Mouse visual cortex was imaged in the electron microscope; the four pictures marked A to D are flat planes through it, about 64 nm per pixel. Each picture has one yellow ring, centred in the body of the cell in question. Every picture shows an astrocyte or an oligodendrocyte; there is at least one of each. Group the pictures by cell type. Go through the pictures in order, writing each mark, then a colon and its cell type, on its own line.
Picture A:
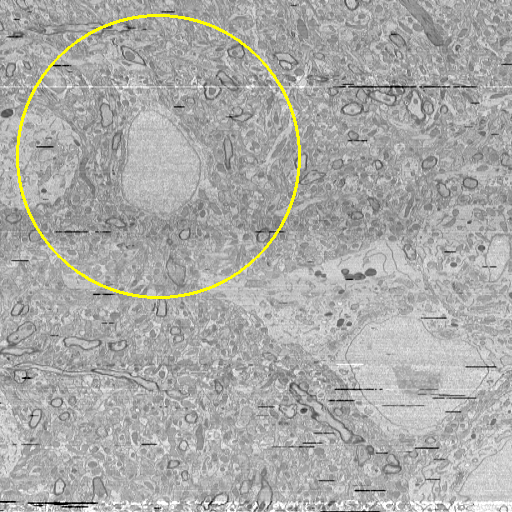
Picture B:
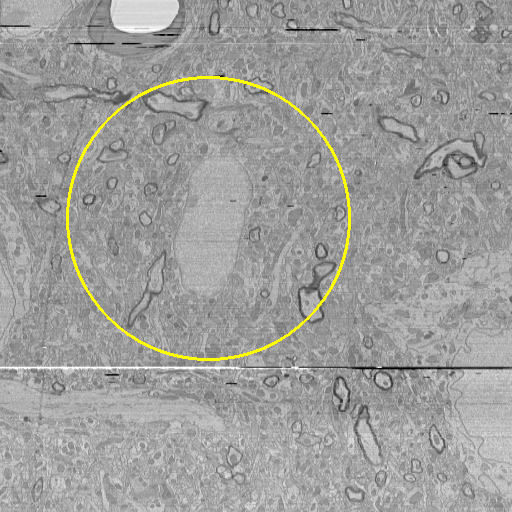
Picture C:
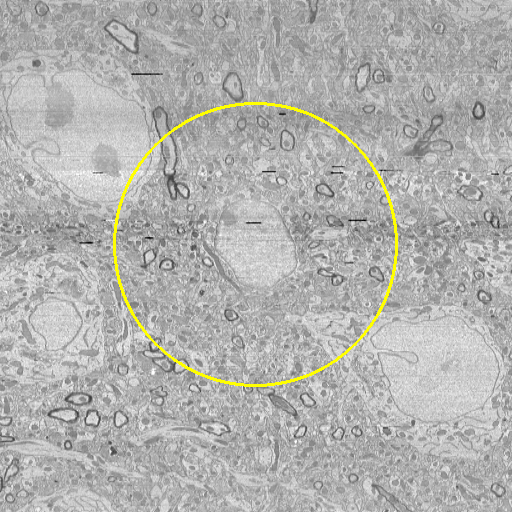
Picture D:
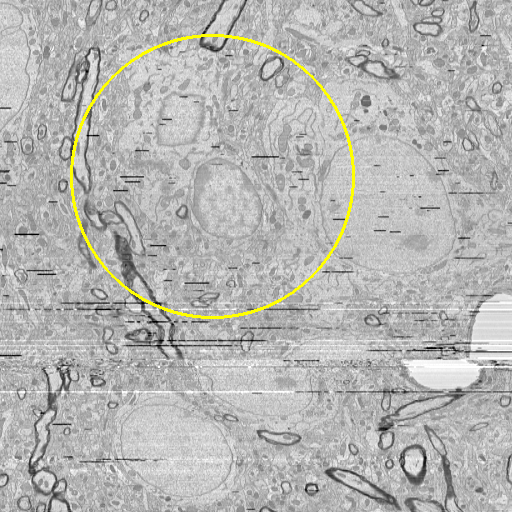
A: astrocyte
B: astrocyte
C: astrocyte
D: oligodendrocyte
